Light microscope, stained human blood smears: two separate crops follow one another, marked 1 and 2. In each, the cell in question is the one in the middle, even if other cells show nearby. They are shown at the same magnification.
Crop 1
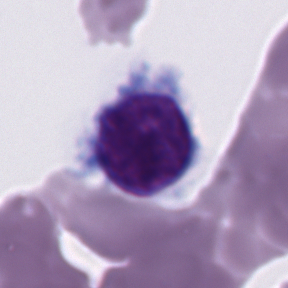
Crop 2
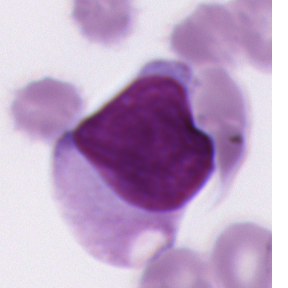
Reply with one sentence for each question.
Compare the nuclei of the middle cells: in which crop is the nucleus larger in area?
Crop 2 shows the larger nucleus; it covers about 1.5 times the area of the nucleus in crop 1.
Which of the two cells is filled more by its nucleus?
In crop 1 the nucleus takes up the larger part of its cell.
